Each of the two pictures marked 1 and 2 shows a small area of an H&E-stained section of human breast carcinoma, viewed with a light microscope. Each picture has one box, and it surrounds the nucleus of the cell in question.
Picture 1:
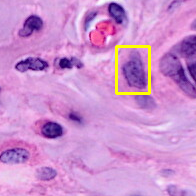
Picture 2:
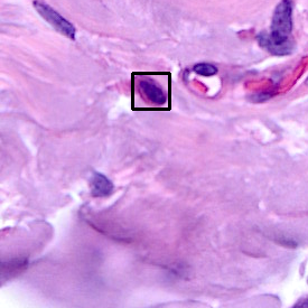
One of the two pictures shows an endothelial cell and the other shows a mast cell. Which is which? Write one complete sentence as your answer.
The cell in picture 1 is an endothelial cell, and the one in picture 2 is a mast cell.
